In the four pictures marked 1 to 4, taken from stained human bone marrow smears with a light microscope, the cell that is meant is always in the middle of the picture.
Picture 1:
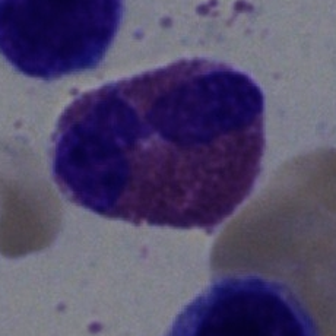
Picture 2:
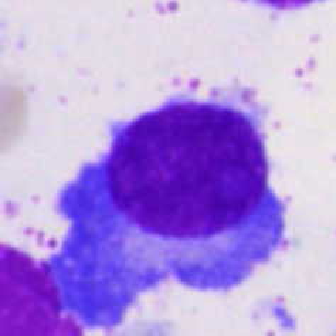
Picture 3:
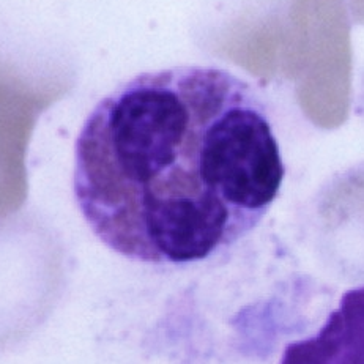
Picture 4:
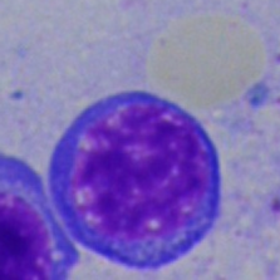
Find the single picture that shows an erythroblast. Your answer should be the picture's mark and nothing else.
4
